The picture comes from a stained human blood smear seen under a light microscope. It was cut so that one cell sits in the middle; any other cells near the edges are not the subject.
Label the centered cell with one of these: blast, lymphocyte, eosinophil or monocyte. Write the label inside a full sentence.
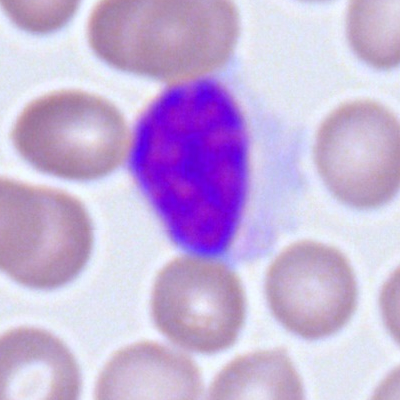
As for the central cell, it is a lymphocyte.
